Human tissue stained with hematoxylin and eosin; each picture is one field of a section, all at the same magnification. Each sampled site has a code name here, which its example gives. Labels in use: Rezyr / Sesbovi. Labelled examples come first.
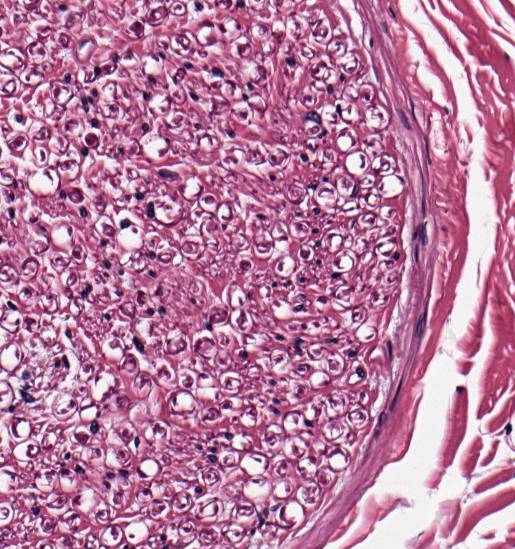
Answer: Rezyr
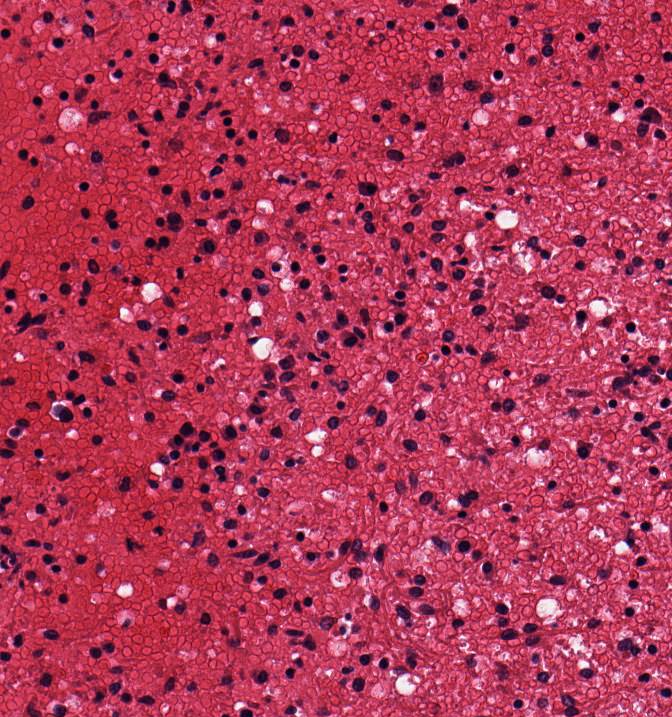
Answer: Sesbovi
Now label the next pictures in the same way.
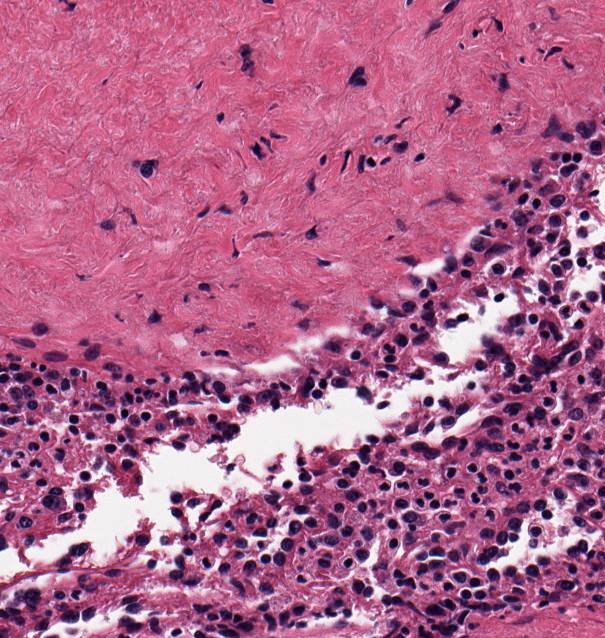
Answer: Sesbovi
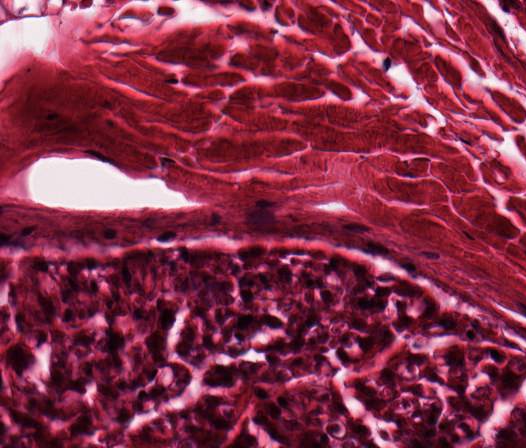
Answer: Rezyr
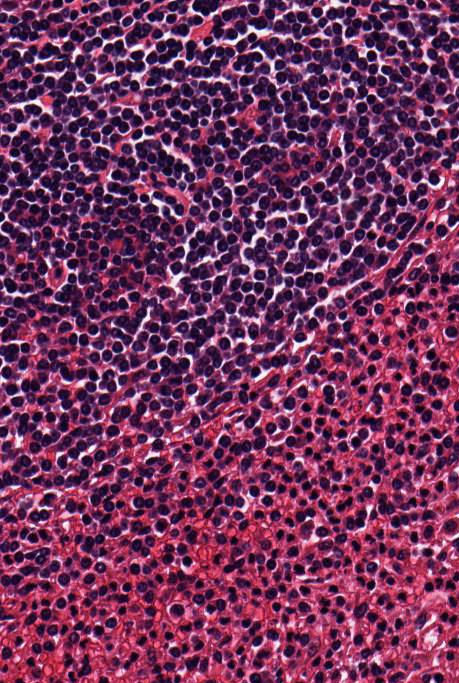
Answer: Sesbovi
